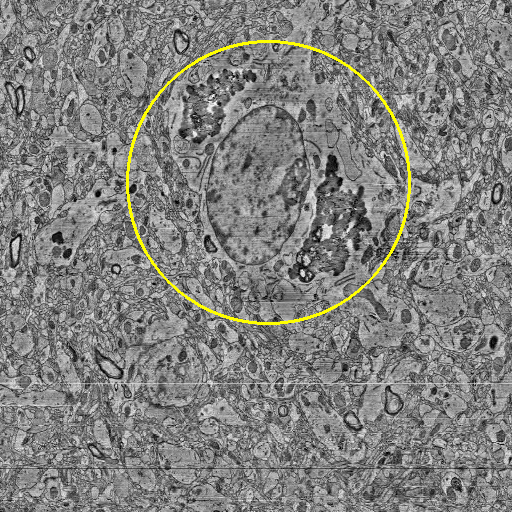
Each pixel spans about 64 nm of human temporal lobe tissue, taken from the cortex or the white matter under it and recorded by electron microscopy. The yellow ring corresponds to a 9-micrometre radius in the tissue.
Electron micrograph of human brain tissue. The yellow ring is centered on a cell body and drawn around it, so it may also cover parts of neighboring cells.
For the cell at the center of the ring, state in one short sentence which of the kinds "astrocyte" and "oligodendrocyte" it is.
This ring is centered on an astrocyte.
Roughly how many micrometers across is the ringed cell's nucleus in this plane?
The nucleus measures about 11 by 6 micrometres, so it is clearly longer than it is wide in this plane.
